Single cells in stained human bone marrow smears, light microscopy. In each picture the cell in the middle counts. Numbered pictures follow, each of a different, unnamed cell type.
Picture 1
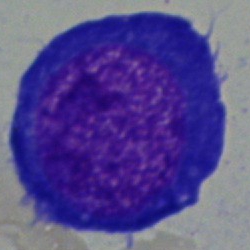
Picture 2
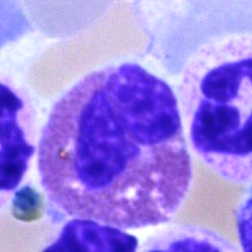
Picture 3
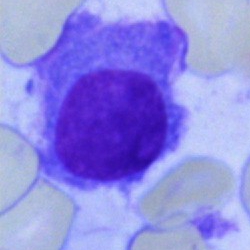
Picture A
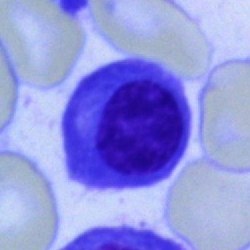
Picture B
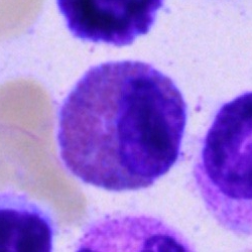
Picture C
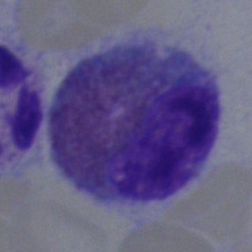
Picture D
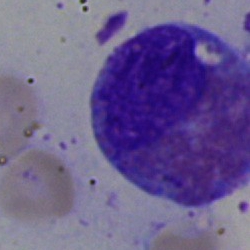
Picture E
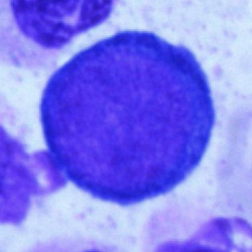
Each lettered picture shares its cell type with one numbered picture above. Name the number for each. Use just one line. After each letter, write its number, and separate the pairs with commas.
A 3, B 2, C 2, D 2, E 1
